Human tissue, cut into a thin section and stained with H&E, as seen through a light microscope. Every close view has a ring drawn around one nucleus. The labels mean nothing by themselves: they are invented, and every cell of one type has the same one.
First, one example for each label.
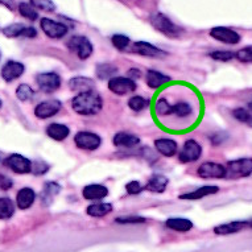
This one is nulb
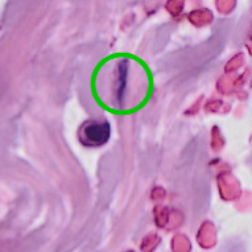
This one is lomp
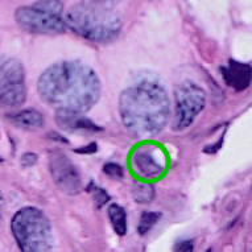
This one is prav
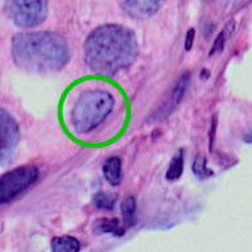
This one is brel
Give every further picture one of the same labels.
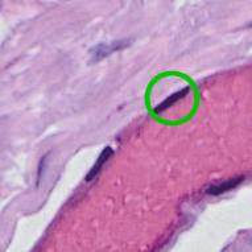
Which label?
prav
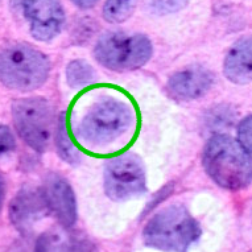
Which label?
brel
